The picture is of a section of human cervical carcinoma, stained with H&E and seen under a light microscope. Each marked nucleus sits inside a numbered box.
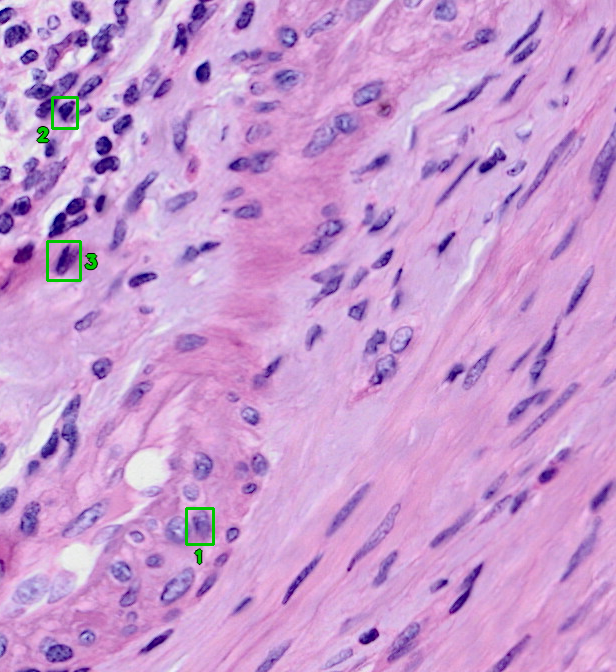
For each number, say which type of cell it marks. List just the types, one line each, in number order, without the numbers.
smooth muscle cell
lymphocyte
lymphocyte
